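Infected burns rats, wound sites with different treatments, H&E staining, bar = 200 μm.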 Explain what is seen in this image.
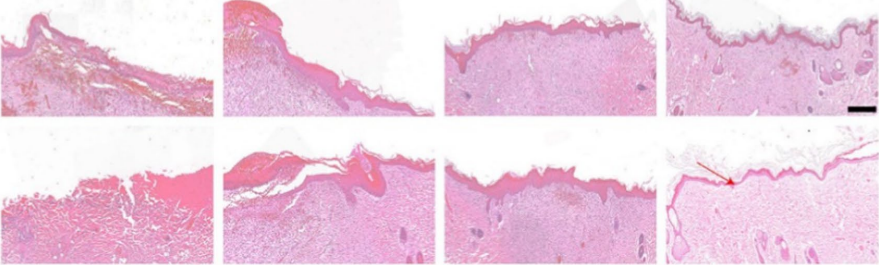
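In several views a thin, continuous, darker pink epidermis lines the surface over a paler dermis. In some views the surface is disrupted, with lifted, folded or detached layers and loose, eosinophilic debris at the top. Small round and oval profiles of skin appendages and vessels are scattered in the dermis of some views. A red arrow in one view marks the continuous surface layer.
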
